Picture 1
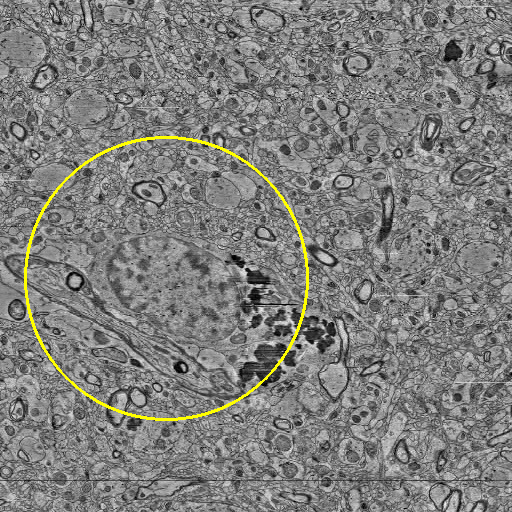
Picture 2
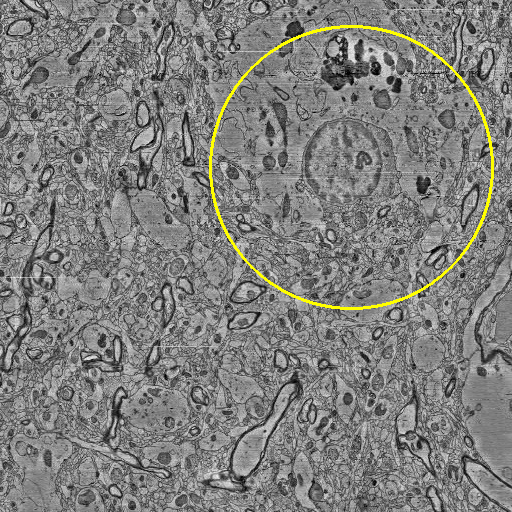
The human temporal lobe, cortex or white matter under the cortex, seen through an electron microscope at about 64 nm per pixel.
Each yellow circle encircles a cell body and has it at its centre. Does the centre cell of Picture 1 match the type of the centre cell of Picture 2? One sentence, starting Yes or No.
Yes, the cell centred in Picture 1 and the one in Picture 2 share a type.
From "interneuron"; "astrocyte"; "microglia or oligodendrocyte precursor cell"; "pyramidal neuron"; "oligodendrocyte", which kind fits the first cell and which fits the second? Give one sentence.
Both the first and the second picture show an oligodendrocyte in the ring.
